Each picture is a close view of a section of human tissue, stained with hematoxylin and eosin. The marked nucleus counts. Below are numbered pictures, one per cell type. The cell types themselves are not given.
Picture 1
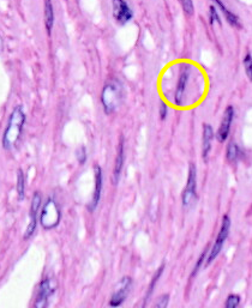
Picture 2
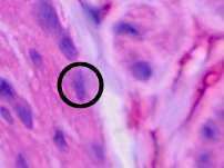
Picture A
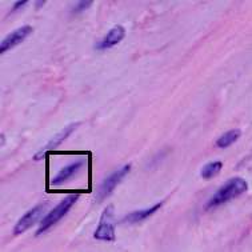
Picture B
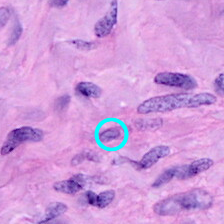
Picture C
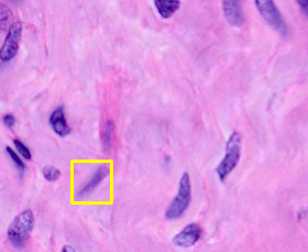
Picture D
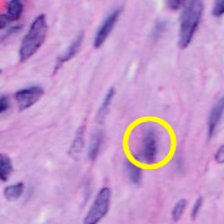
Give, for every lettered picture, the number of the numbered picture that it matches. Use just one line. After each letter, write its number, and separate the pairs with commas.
A 1, B 2, C 1, D 1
